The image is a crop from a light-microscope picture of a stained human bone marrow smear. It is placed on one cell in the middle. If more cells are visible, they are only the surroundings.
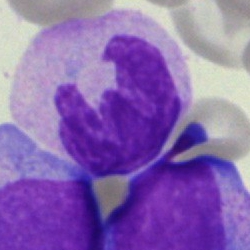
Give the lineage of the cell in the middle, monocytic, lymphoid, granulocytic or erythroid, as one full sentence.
The cell at the middle of the crop is designated as monocytic in lineage.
